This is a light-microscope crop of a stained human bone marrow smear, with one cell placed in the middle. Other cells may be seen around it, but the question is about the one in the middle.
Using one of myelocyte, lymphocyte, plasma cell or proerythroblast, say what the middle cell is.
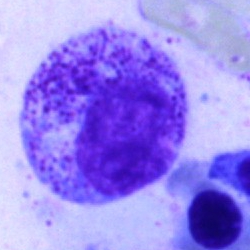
myelocyte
